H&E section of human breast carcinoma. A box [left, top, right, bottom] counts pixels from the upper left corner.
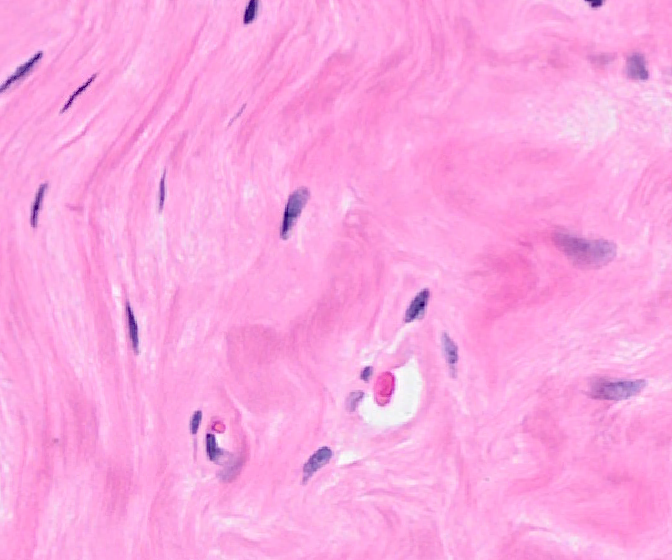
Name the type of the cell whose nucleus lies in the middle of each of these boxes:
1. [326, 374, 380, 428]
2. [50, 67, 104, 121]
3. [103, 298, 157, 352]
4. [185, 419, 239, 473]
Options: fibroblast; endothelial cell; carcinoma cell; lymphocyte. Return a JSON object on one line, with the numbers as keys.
{"1": "endothelial cell", "2": "fibroblast", "3": "fibroblast", "4": "endothelial cell"}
